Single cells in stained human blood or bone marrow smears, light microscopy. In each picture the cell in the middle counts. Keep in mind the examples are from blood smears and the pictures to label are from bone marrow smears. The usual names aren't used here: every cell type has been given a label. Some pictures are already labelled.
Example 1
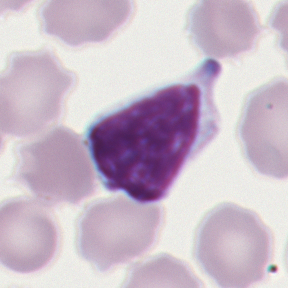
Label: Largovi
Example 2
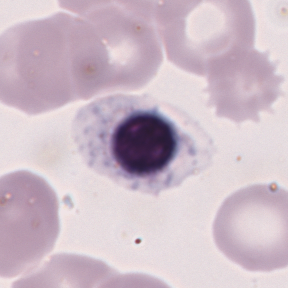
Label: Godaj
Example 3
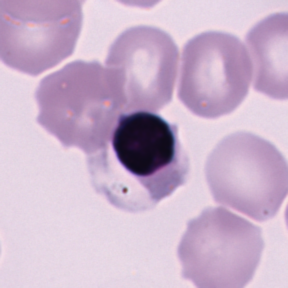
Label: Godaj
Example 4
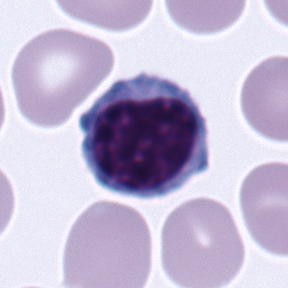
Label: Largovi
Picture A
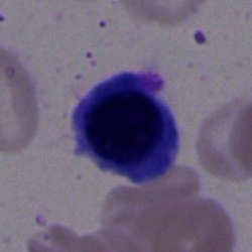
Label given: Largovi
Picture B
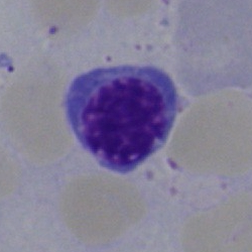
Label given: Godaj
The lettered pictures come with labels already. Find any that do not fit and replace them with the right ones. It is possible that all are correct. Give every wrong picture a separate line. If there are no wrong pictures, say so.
A should be Godaj, not Largovi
